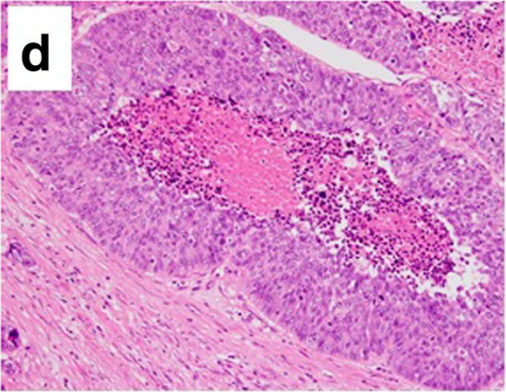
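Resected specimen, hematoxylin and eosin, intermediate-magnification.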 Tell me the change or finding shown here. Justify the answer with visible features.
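A solid nest of tumor cells surrounds a central pink, acellular area. The central area is mixed with dark nuclear debris.
Necrosis.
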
